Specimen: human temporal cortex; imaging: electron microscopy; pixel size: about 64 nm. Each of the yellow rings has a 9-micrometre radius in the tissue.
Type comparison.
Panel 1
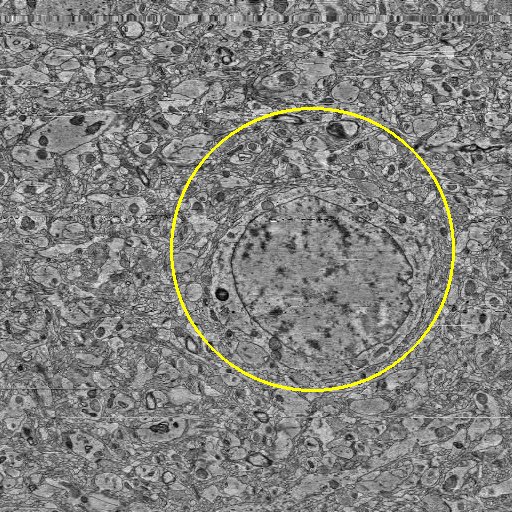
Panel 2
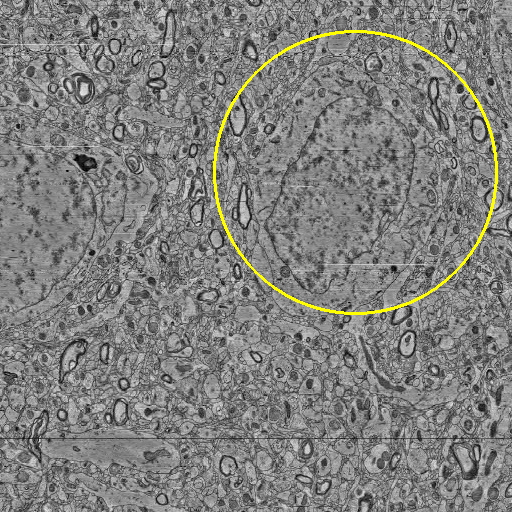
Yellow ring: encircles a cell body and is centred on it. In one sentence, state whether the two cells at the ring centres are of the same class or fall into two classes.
In these panels, the two cells at the ring centres are of the same class.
